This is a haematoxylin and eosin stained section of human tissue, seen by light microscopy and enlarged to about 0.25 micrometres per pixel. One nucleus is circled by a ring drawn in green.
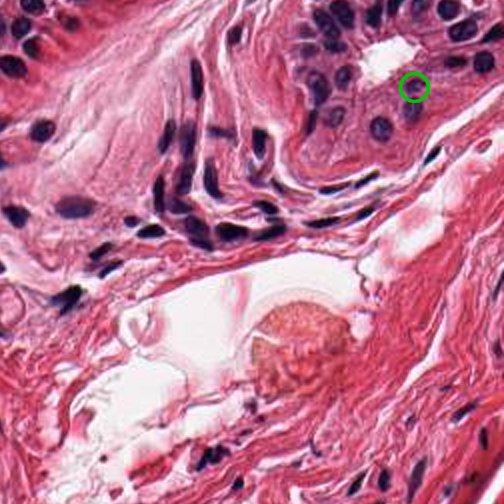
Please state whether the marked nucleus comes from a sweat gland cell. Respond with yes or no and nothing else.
yes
